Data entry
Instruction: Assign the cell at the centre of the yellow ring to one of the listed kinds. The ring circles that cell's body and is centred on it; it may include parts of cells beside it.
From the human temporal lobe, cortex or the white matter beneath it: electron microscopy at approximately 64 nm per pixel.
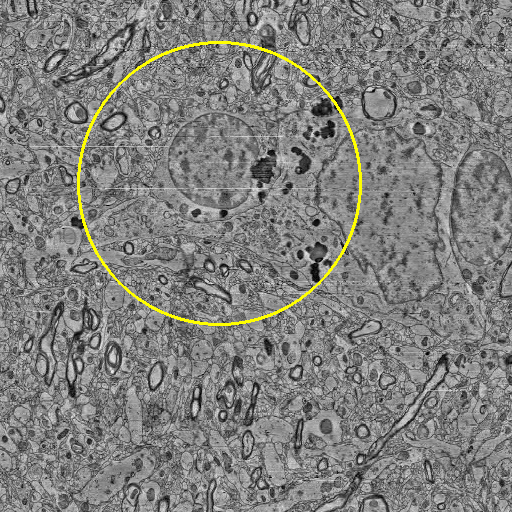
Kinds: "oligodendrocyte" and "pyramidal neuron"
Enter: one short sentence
The centre of the ring falls on an oligodendrocyte.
